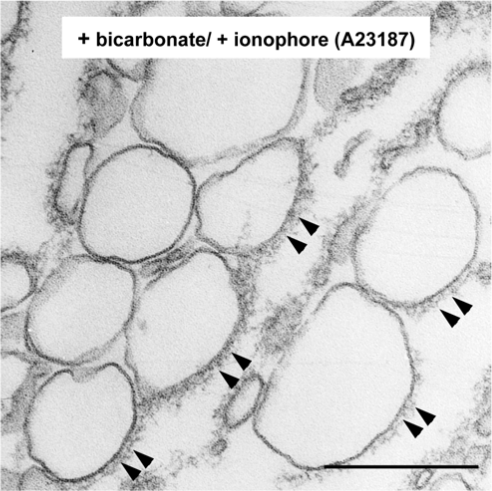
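This electron micrograph shows a field of rounded, membrane-bounded vesicles, each outlined by a single dark membrane enclosing a pale, nearly empty interior. The vesicles are broadly similar in size and mostly round, flattening slightly where they press against each other. Along one side of many vesicles lies a fuzzy, granular grey coat, pointed out by paired black arrowheads. Between the vesicles are smaller membrane fragments and finely granular material.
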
